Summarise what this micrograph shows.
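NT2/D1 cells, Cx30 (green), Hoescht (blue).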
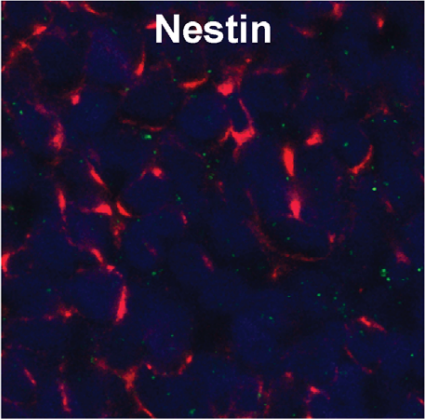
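This field shows a dense layer of cultured cells whose oval blue nuclei are packed tightly side by side. Bright red labelling lies in the narrow spaces between the nuclei, forming short streaks and small irregular patches. The red does not cover the nuclei themselves but outlines the edges of many cells. Overall the cells form a crowded sheet with little free space between them.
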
